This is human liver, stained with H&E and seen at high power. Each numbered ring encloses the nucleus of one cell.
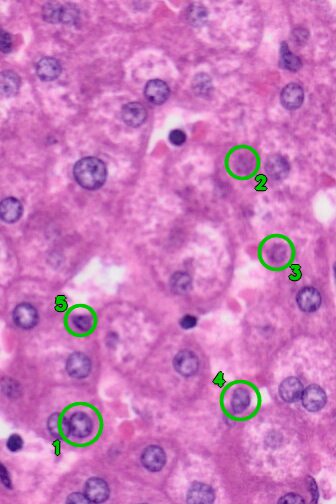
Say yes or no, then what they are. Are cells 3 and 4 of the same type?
No, the cell labelled 3 is a hepatocyte; the cell labelled 4 is a Kupffer cell.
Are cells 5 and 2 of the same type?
No, the identities are a fibroblast or stellate cell for cell 5 and a hepatocyte for cell 2.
